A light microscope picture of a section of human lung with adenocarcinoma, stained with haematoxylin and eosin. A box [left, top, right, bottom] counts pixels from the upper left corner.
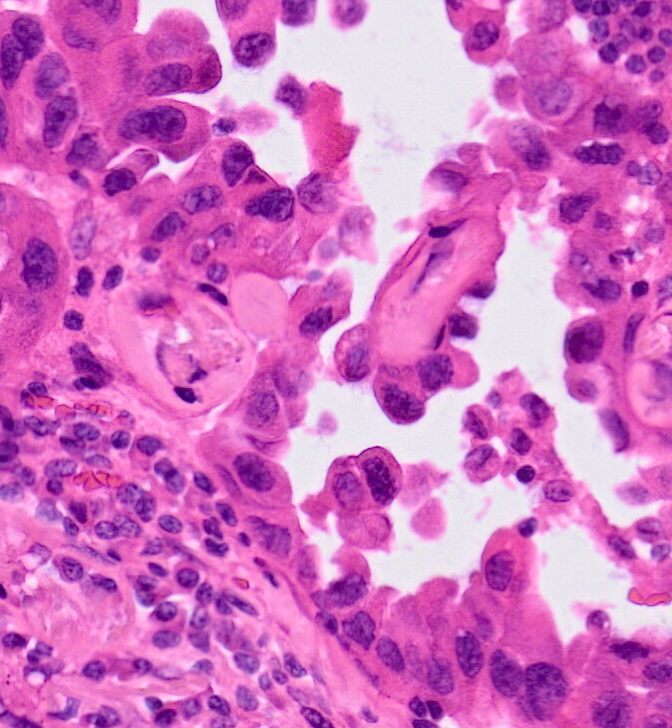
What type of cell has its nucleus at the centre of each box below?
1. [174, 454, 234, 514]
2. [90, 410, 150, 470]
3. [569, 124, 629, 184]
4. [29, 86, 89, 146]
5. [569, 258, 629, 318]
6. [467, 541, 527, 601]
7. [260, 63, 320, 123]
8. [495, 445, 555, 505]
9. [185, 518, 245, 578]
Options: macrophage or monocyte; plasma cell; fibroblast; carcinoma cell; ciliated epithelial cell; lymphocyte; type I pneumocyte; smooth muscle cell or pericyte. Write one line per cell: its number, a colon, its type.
1: lymphocyte
2: lymphocyte
3: carcinoma cell
4: carcinoma cell
5: carcinoma cell
6: carcinoma cell
7: carcinoma cell
8: lymphocyte
9: lymphocyte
